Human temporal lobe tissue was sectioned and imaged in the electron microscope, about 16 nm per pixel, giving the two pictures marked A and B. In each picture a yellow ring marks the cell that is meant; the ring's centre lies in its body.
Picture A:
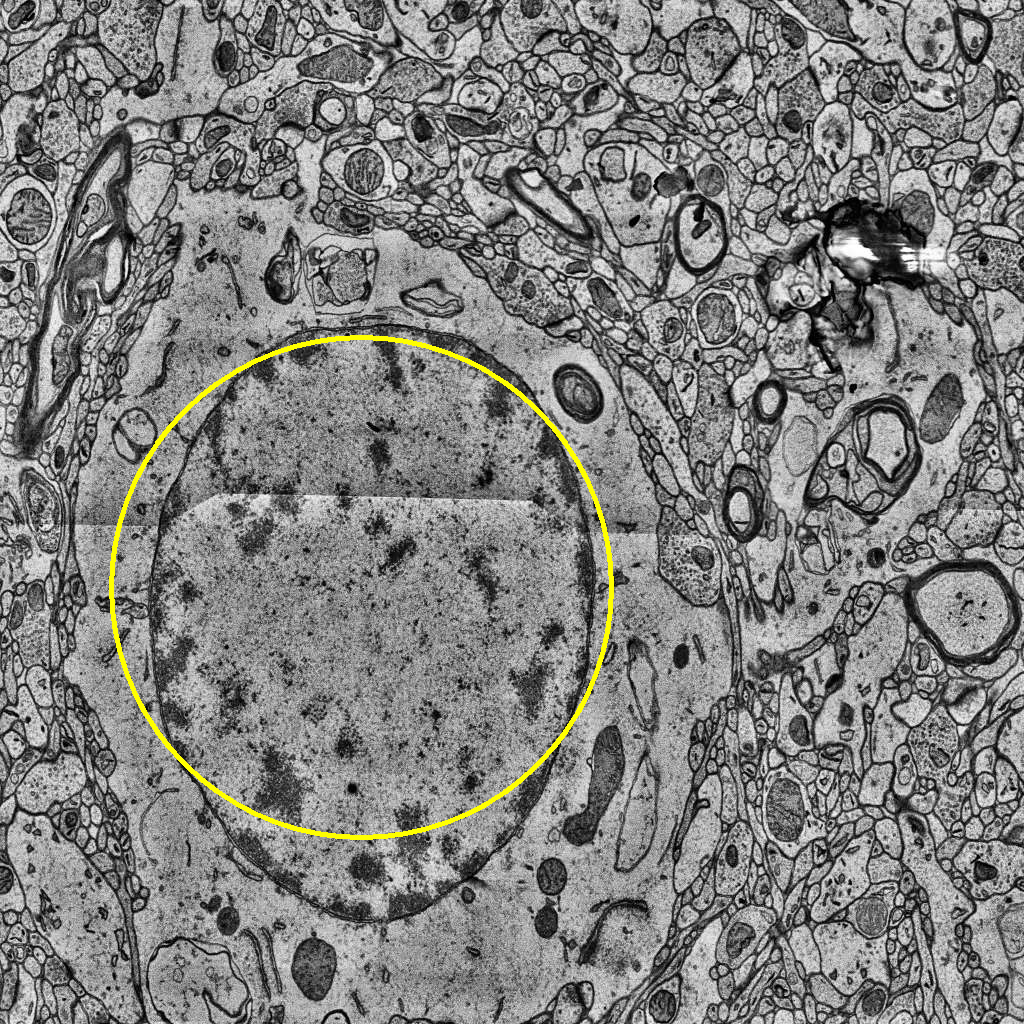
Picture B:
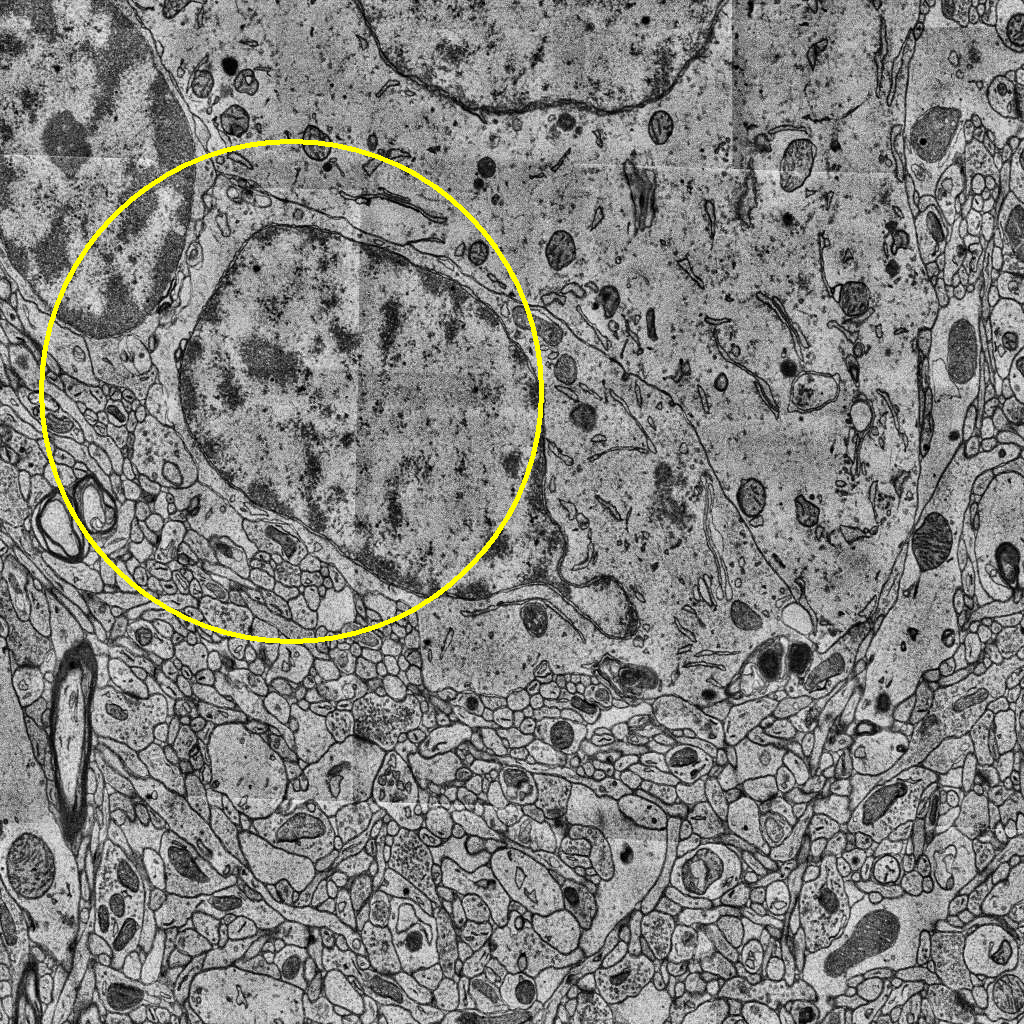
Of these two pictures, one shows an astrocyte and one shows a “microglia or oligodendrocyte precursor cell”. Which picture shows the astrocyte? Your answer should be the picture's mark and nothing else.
A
